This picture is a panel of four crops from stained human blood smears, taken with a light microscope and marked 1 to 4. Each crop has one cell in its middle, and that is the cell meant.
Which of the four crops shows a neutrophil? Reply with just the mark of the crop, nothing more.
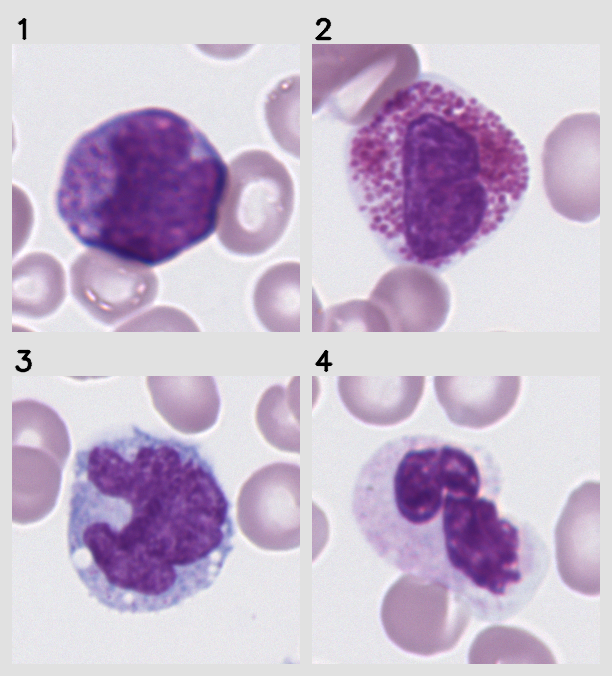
4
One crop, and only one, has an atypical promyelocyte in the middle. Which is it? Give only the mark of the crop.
1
